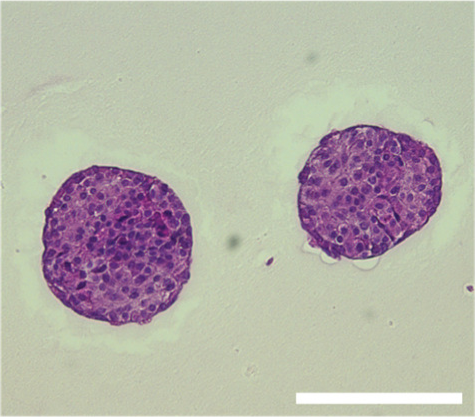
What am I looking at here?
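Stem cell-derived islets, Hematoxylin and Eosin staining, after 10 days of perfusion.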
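Two round, compact clusters of cells lie side by side in a pale background, each a solid ball of tightly packed cells. The cells have dark purple round nuclei and a thin rim of pinkish-purple cytoplasm, and the clusters have a smooth, well-defined outer edge without a hollow centre.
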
